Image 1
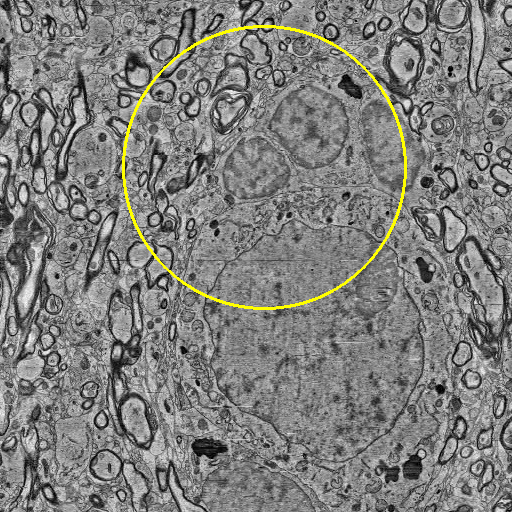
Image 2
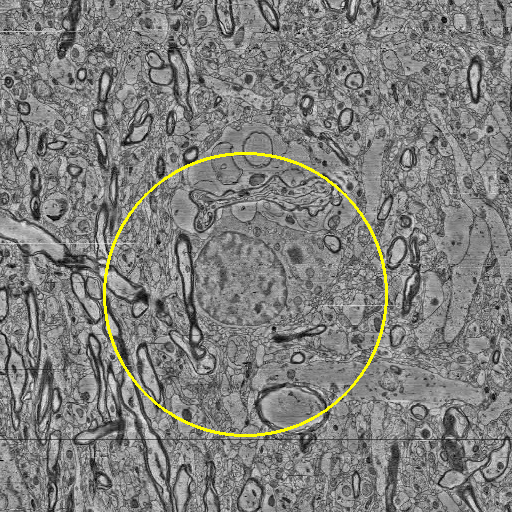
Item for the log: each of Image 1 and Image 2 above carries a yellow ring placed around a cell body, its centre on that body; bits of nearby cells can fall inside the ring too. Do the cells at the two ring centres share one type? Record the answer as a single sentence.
Yes, the two cells at the ring centres in Image 1 and Image 2 share one type.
